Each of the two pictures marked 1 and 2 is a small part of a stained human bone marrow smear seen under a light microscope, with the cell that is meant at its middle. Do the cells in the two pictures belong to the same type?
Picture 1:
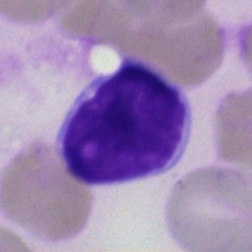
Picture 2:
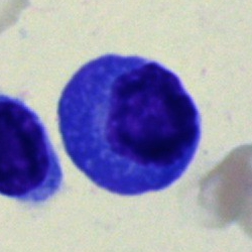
no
